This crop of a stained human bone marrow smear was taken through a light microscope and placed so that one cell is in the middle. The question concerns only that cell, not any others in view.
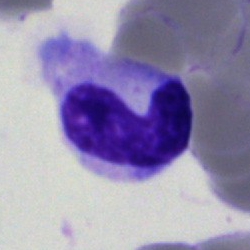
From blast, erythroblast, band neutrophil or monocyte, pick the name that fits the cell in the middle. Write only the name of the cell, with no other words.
band neutrophil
